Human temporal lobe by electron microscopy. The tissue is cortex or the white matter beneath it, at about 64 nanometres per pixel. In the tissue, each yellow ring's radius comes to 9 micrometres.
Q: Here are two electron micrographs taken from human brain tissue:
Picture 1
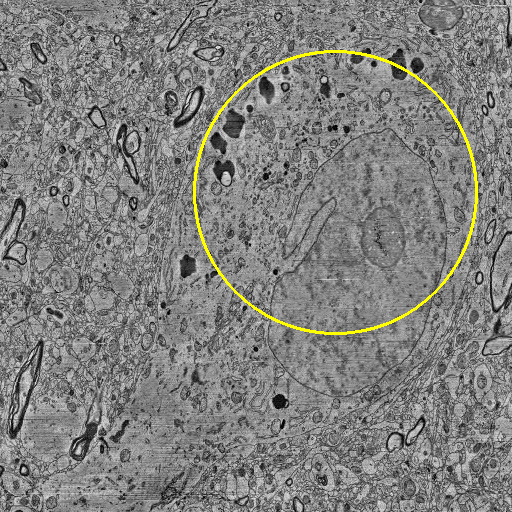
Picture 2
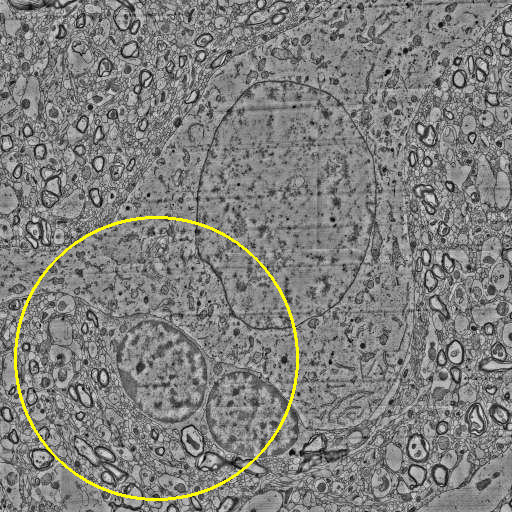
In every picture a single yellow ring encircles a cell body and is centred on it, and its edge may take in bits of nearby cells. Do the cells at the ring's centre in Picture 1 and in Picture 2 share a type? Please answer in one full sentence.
No, the cells at the ring's centre in Picture 1 and Picture 2 are of two types.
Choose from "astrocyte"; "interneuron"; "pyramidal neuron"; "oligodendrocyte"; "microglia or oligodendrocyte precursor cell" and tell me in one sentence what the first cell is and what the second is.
What the first ring is centred on is a pyramidal neuron; what the second ring is centred on is a microglial cell or oligodendrocyte precursor cell.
